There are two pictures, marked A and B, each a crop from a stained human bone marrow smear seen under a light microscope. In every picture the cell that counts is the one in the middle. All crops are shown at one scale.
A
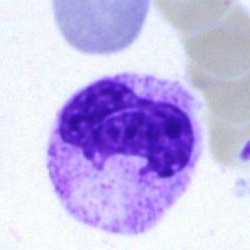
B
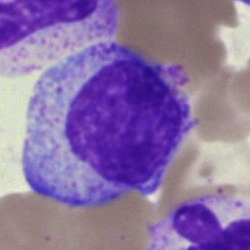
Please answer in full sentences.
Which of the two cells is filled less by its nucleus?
Of the two, the nucleus in picture A leaves more room for cytoplasm.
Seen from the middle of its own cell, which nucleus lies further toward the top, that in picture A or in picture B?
Seen within its cell, the nucleus in picture A lies further toward the top.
